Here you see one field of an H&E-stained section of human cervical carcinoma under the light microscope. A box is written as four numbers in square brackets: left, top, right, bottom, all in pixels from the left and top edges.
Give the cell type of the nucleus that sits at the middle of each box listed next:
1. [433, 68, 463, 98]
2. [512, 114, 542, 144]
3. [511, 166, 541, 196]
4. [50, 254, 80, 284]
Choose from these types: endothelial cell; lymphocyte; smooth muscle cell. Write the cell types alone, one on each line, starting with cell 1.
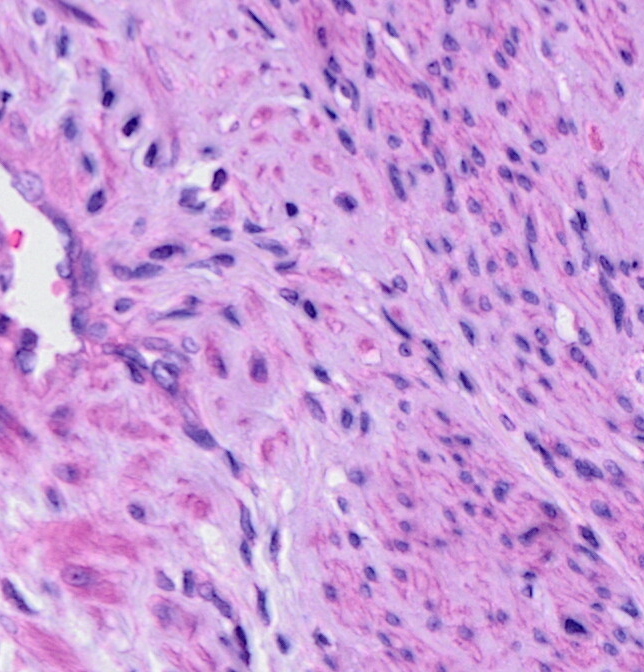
smooth muscle cell
smooth muscle cell
smooth muscle cell
endothelial cell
